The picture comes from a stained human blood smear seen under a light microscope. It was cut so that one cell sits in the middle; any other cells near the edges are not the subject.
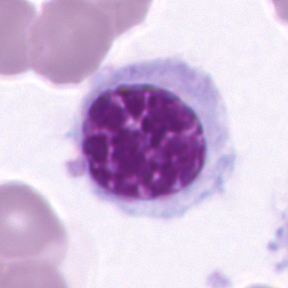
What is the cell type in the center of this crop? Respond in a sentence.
The cell in the middle of the field of view is a plasma cell.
